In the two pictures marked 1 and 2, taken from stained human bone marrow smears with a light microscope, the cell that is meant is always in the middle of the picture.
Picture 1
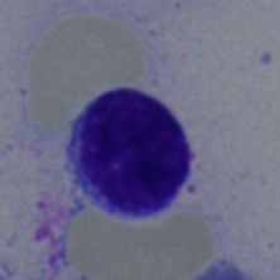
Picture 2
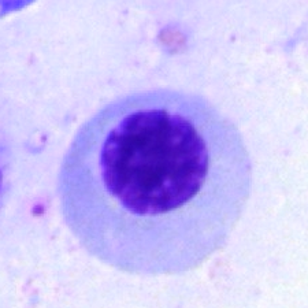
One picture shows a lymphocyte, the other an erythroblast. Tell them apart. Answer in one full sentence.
Picture 1 is of a lymphocyte, and picture 2 is of an erythroblast.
